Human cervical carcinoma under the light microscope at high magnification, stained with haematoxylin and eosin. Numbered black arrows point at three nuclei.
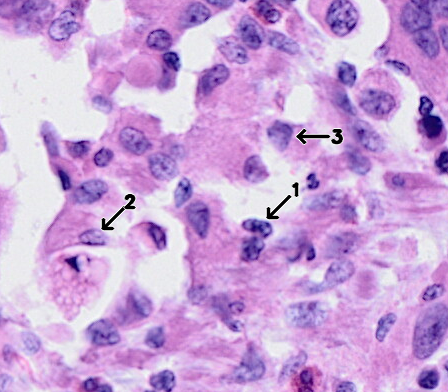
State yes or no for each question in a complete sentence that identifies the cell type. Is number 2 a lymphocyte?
No, what is marked as number 2 is a macrophage or monocyte rather than a lymphocyte.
